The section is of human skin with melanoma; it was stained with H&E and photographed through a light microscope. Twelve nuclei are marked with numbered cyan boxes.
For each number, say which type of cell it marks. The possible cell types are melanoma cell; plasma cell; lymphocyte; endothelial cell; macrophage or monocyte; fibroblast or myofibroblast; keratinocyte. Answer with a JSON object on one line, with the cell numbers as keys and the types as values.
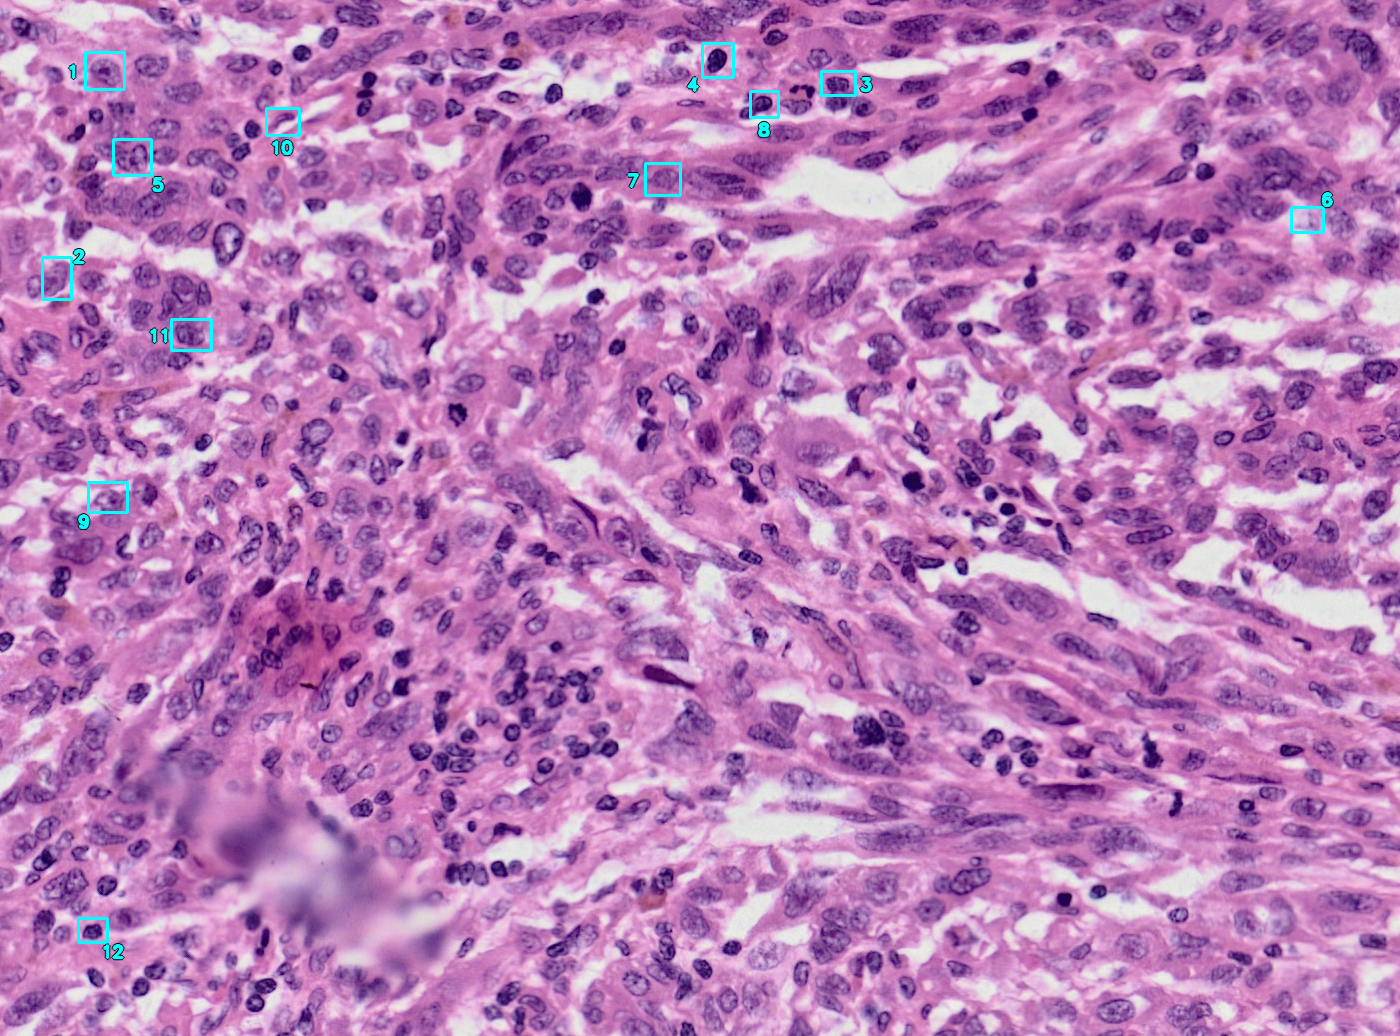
{"1": "melanoma cell", "2": "melanoma cell", "3": "lymphocyte", "4": "lymphocyte", "5": "melanoma cell", "6": "melanoma cell", "7": "melanoma cell", "8": "lymphocyte", "9": "melanoma cell", "10": "endothelial cell", "11": "melanoma cell", "12": "lymphocyte"}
